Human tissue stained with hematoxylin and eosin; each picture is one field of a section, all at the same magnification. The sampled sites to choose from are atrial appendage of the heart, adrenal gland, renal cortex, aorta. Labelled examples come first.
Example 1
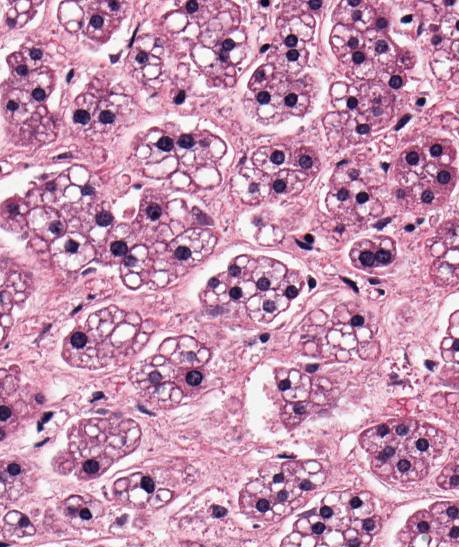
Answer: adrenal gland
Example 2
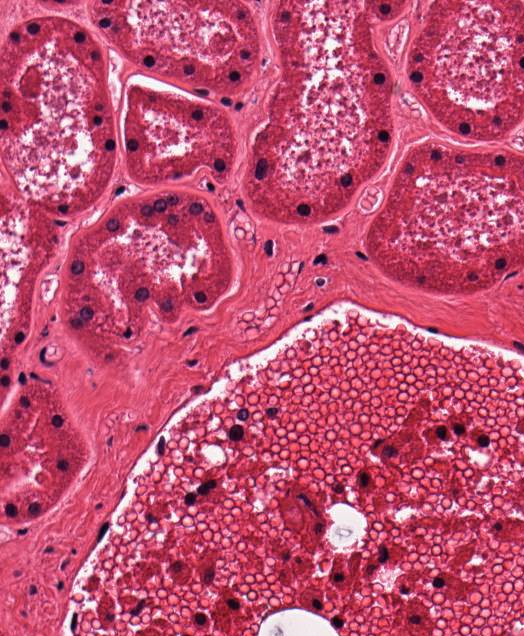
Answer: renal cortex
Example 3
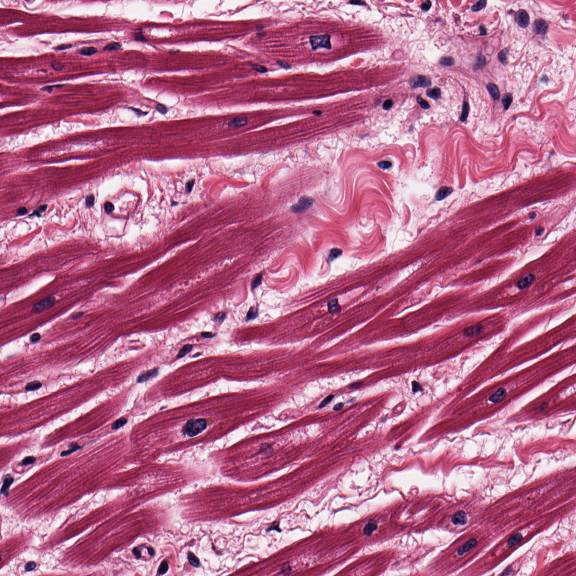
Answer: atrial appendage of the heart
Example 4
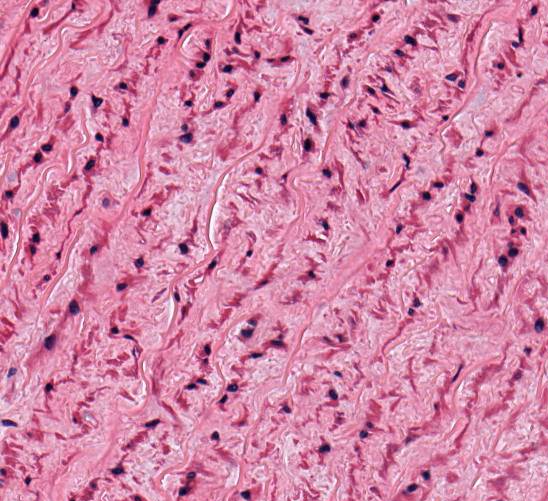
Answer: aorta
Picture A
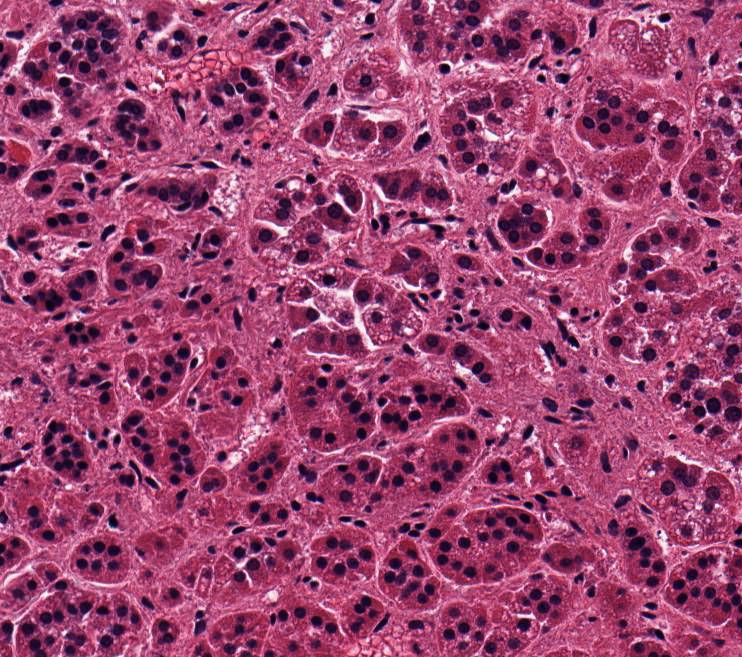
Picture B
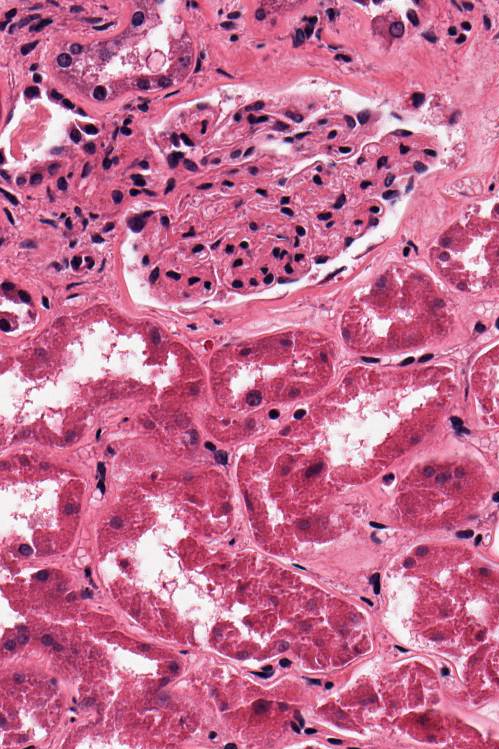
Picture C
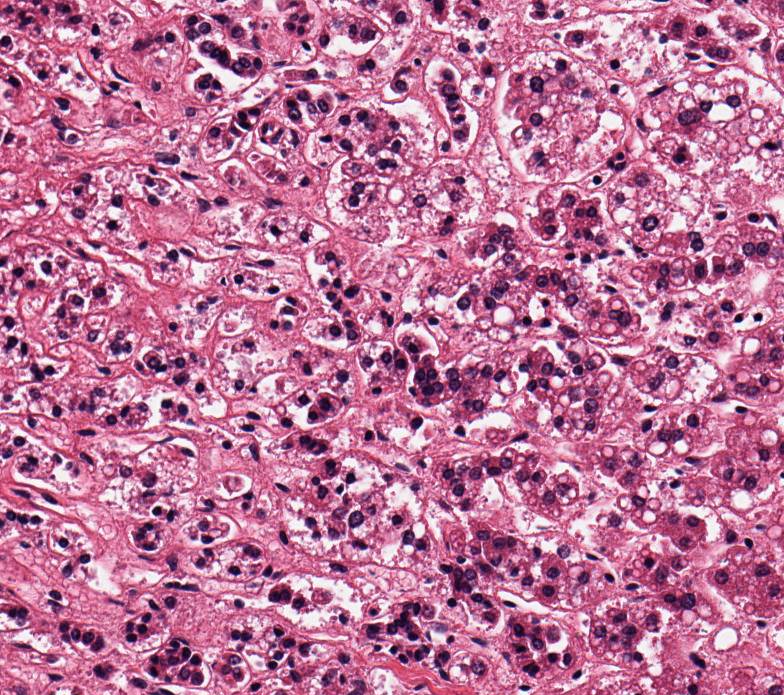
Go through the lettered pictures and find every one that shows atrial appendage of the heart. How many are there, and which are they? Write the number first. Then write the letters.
0, none of them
